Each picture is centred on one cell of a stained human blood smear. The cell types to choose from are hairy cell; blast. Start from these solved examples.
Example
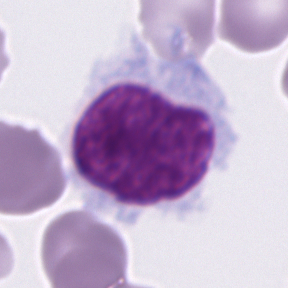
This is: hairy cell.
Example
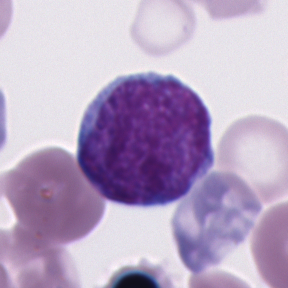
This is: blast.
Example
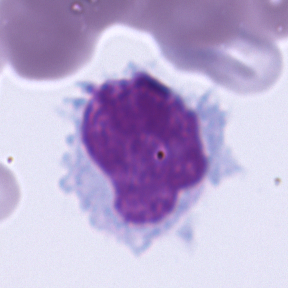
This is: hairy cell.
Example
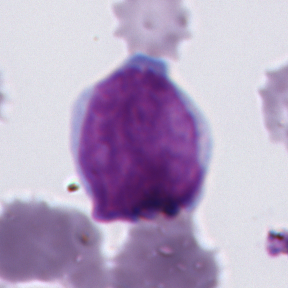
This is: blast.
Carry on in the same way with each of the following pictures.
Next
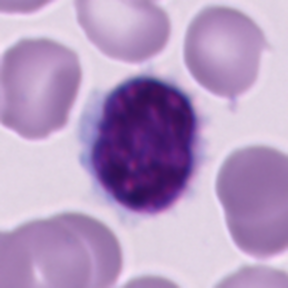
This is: hairy cell.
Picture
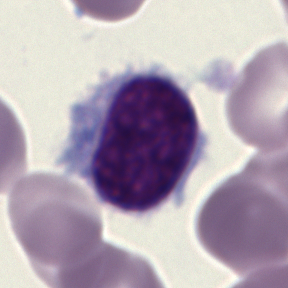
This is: hairy cell.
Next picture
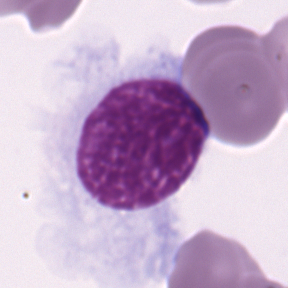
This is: hairy cell.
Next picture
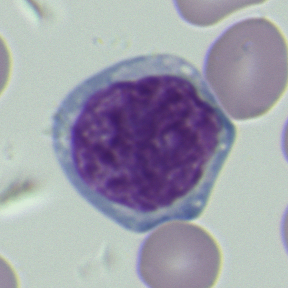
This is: blast.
